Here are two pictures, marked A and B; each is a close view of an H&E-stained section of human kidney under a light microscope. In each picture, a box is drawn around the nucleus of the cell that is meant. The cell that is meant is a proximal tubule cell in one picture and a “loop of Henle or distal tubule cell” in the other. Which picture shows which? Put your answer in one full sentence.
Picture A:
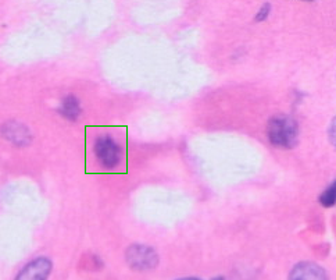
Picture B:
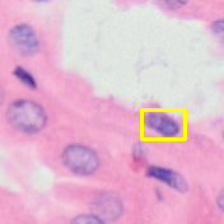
It is picture A that shows a proximal tubule cell, and picture B that shows a “loop of Henle or distal tubule cell”.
